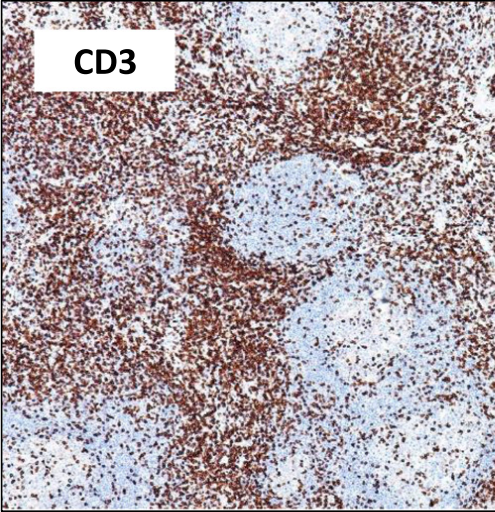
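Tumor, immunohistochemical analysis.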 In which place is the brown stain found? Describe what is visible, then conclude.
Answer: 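Brown-stained cells fill the tissue between rounded pale nodules. The rounded nodules are largely unstained blue. So: parafollicular area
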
